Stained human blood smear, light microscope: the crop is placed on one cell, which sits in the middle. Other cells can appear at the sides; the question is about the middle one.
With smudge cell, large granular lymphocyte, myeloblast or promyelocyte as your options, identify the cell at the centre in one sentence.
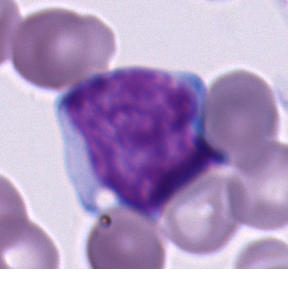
The cell centred in this crop is categorized as a myeloblast.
